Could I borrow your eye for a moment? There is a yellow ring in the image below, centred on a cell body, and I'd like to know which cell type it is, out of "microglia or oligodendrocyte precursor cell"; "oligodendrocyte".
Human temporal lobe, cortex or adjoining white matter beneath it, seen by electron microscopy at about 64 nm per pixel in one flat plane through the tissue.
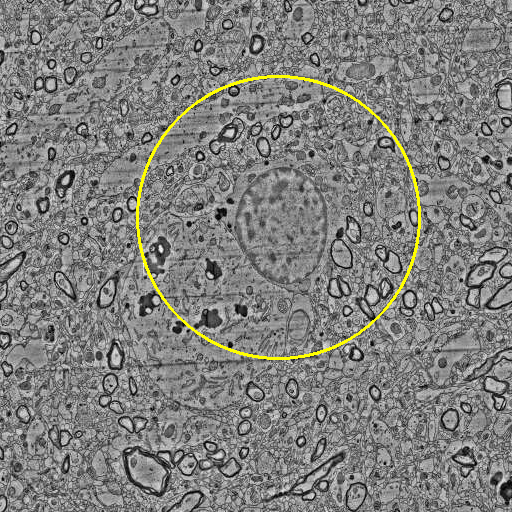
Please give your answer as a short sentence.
The cell body at the centre is that of an oligodendrocyte.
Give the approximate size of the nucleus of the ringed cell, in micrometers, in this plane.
Approximately 7 by 6 micrometers in this plane.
